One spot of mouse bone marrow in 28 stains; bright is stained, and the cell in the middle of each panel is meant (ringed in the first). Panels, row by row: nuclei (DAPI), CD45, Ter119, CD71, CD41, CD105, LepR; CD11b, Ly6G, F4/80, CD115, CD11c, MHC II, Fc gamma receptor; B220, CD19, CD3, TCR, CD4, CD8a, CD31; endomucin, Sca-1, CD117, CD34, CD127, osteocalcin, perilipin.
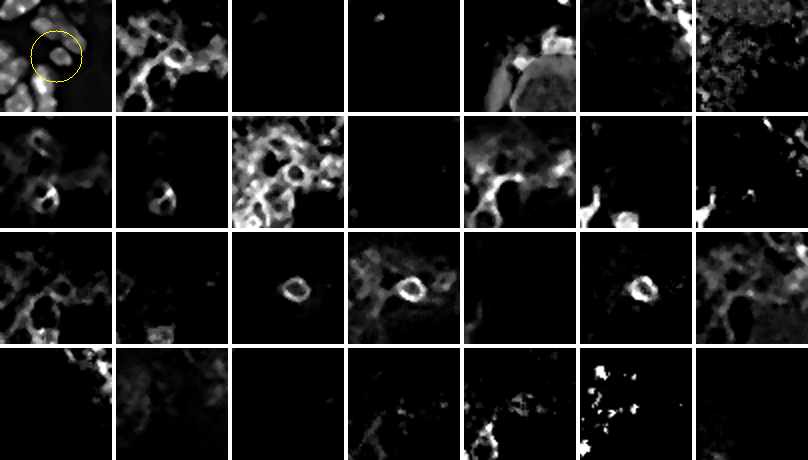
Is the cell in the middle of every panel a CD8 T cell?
Yes, it is a CD8 T cell.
